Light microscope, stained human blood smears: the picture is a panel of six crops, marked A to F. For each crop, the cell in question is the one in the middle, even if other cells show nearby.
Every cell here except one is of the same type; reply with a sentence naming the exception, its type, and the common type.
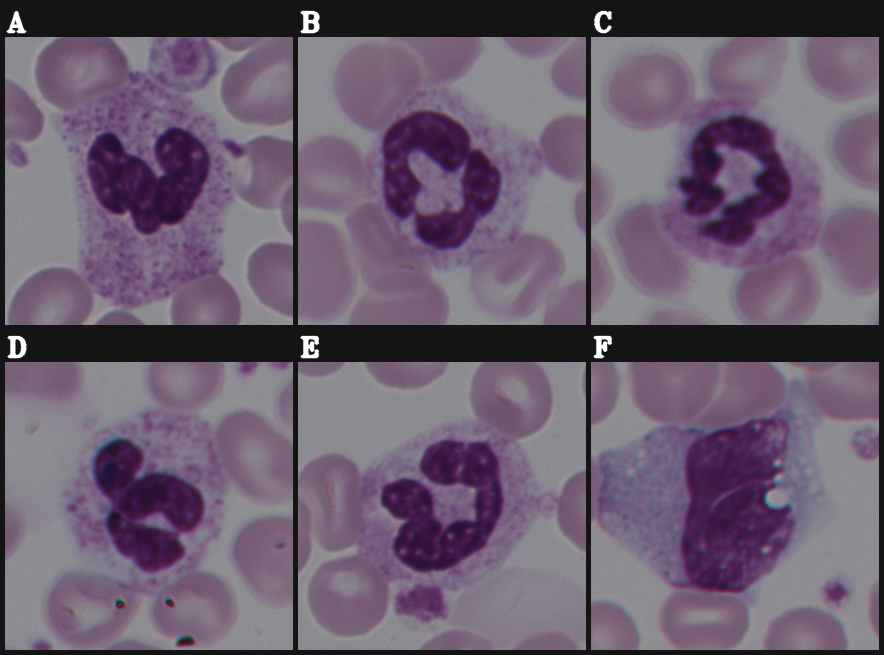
Only one crop differs, namely crop F, which is a monocyte; the others show neutrophils.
